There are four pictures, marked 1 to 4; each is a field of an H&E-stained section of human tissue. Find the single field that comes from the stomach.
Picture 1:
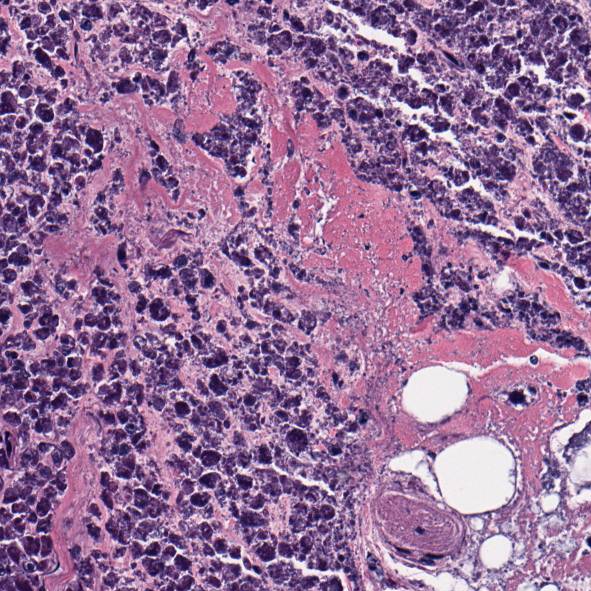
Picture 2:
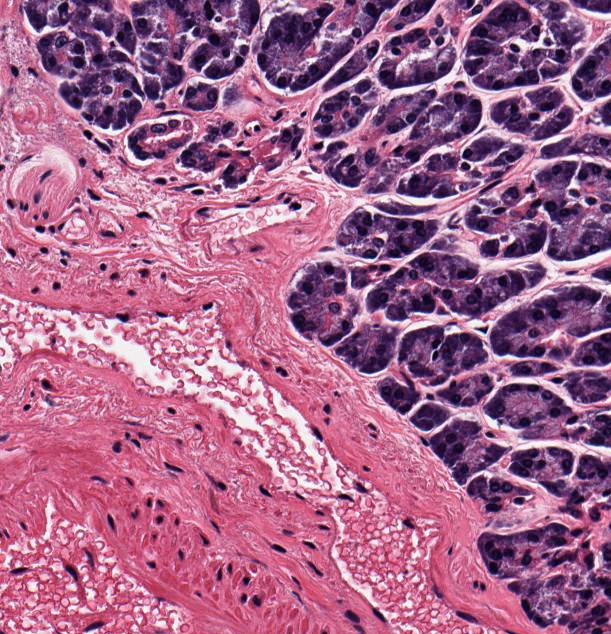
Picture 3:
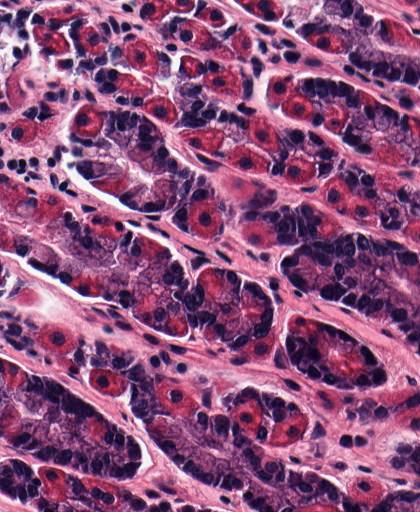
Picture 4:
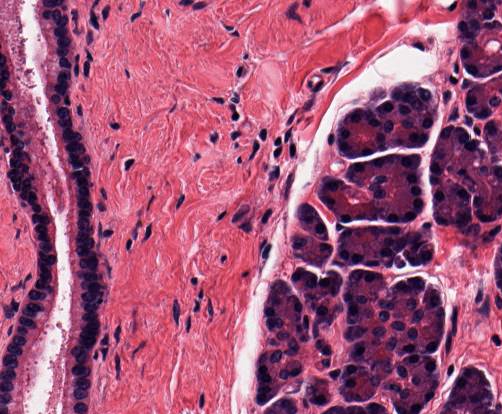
3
